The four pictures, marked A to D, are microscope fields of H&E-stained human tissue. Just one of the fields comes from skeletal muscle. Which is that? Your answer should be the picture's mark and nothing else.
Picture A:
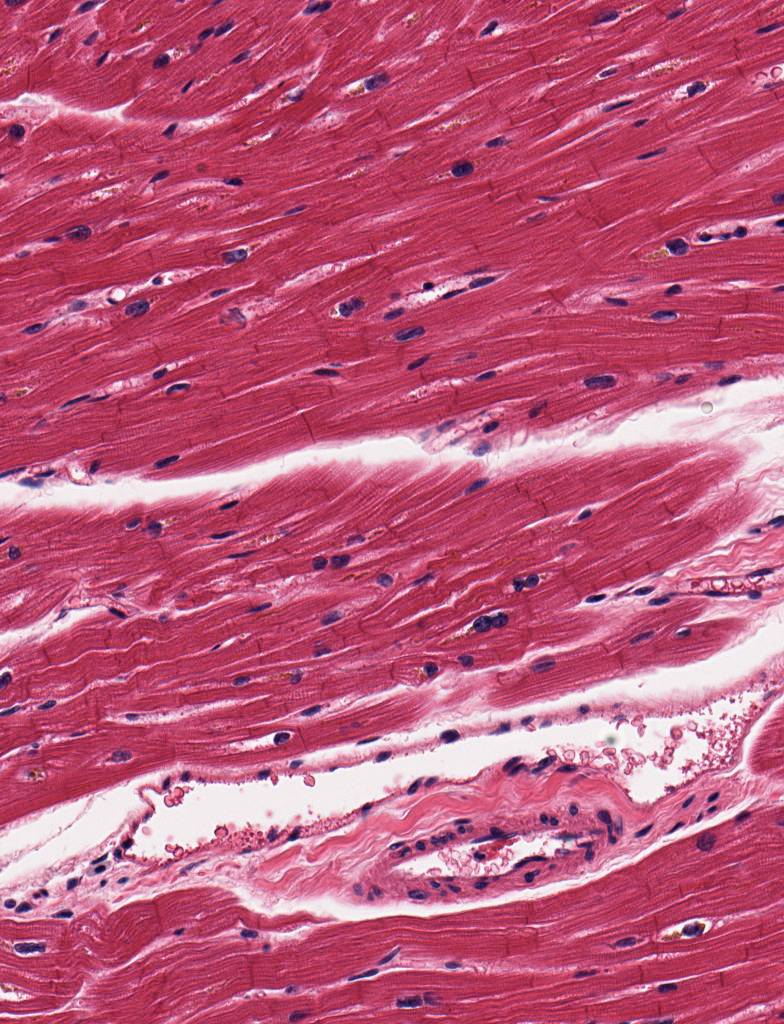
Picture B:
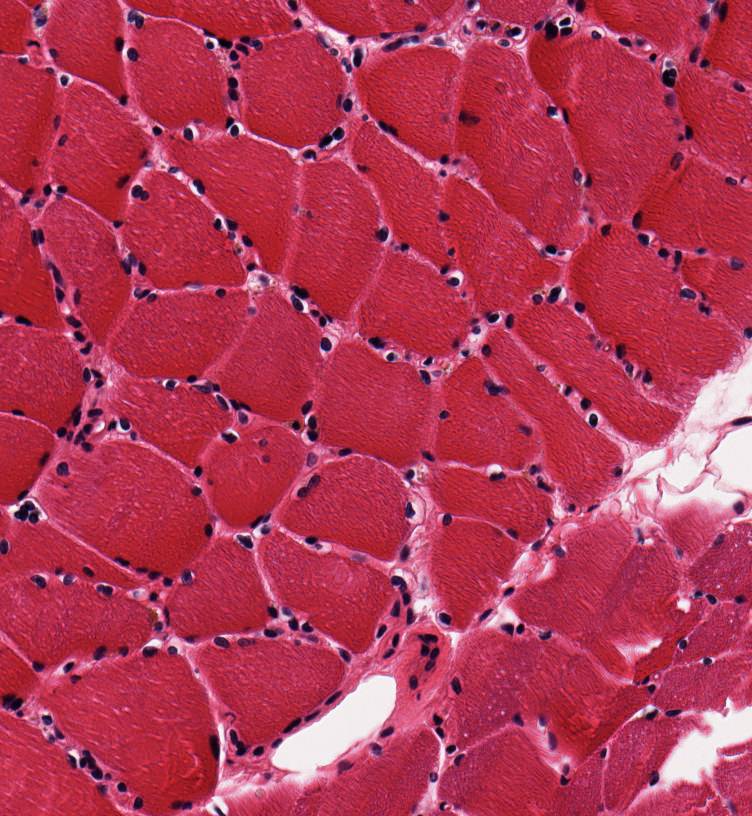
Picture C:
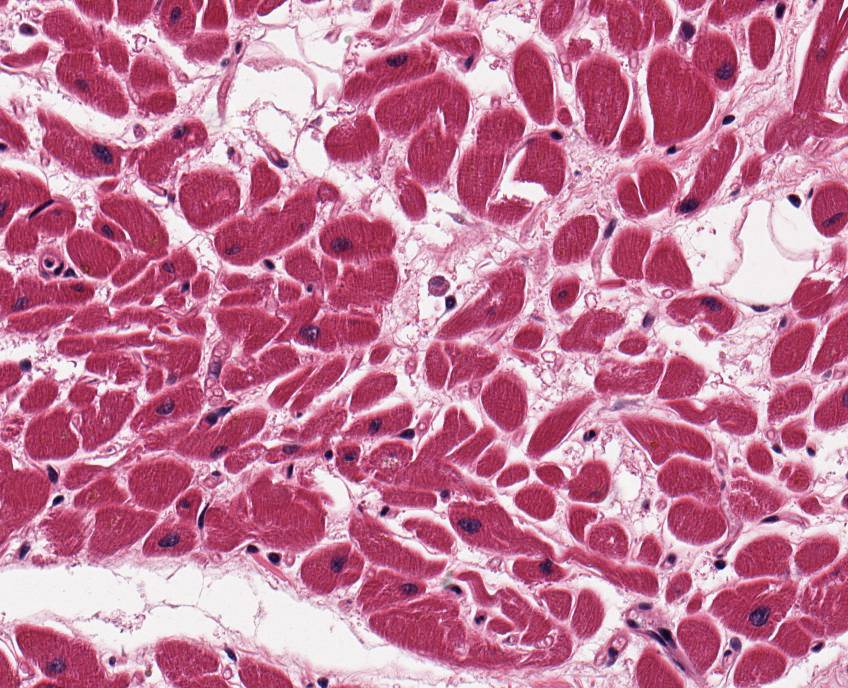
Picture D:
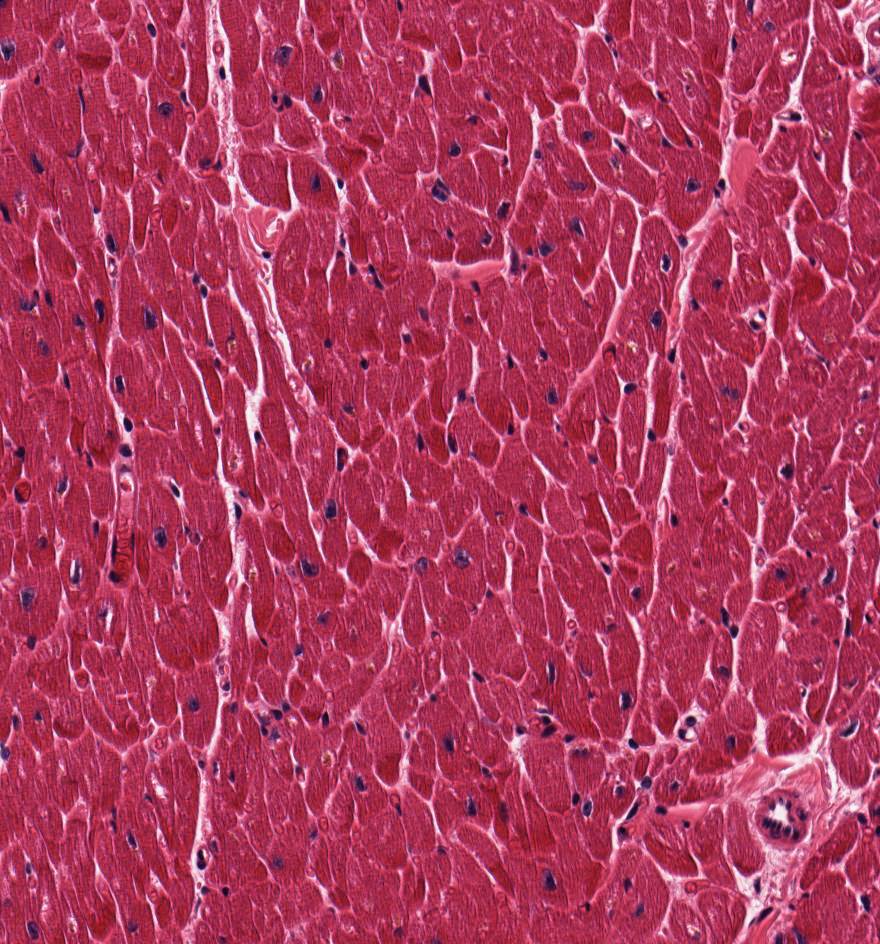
B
